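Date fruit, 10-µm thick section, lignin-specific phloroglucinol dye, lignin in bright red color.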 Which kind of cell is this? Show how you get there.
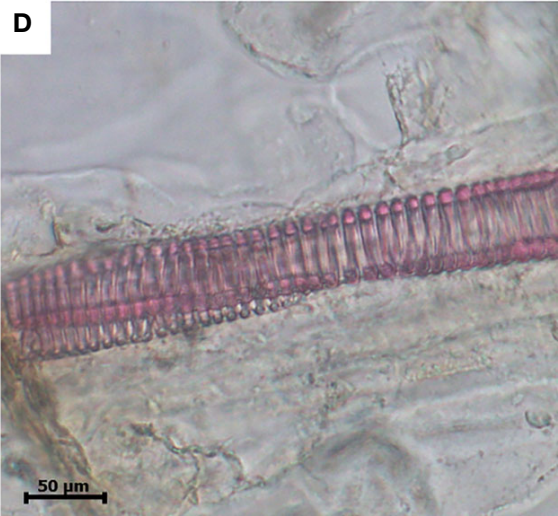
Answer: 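Xylem vessels. A long tube runs across the panel. Its wall bears closely spaced red ring- or spiral-like thickenings.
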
